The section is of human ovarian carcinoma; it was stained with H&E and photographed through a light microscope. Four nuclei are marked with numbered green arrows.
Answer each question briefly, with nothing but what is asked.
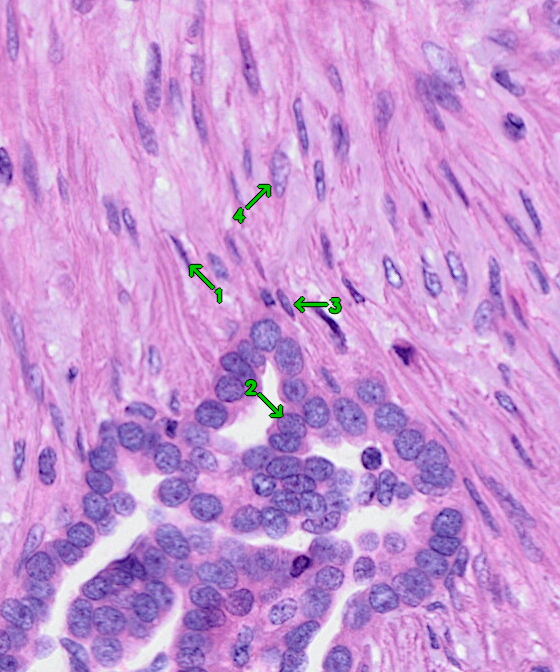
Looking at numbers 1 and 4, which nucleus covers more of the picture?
4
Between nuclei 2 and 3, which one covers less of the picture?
3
